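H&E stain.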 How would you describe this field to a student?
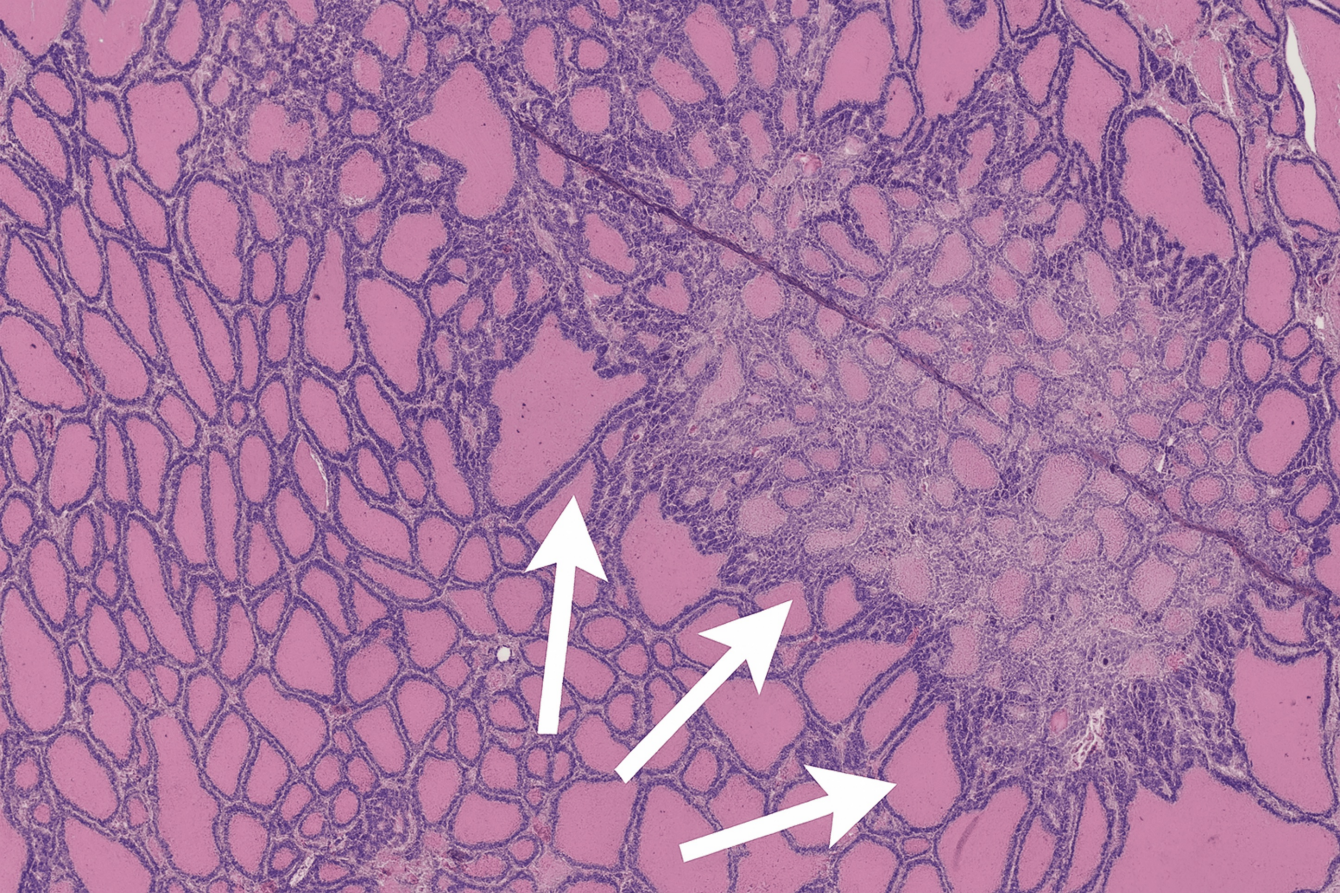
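Thyroid-type tissue made of closely packed follicles of very unequal size and irregular shape, each filled with homogeneous pink colloid. Toward the right centre lies a more cellular, paler zone of small follicles with less colloid, surrounded by large distended follicles. A thin dark line crosses the section diagonally, most likely a fold or artifact.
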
